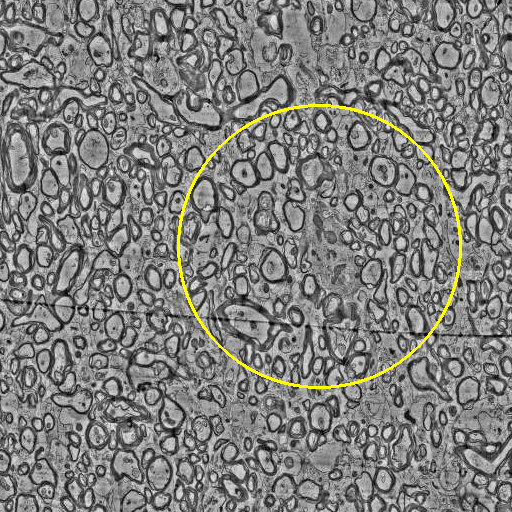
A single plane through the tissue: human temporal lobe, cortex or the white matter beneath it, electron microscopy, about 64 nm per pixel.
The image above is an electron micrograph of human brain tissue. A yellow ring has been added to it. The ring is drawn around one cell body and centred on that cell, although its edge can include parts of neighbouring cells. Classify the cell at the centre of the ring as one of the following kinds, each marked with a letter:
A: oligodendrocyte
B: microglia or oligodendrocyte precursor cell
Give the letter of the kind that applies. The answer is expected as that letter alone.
A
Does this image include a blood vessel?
No, no vessel appears in the picture.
